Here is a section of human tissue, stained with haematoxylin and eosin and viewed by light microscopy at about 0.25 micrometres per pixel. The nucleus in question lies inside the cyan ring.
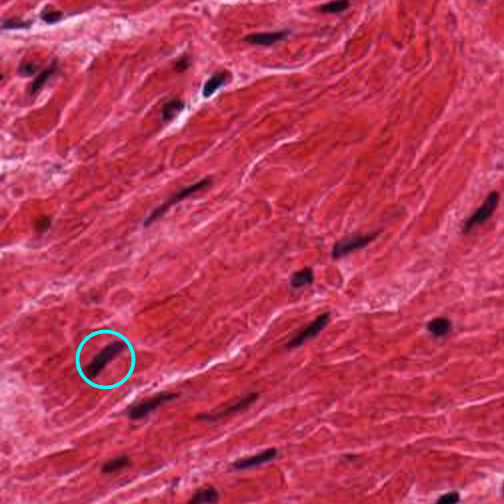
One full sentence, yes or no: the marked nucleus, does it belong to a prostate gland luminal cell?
No, the marked nucleus is not the nucleus of a prostate gland luminal cell.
